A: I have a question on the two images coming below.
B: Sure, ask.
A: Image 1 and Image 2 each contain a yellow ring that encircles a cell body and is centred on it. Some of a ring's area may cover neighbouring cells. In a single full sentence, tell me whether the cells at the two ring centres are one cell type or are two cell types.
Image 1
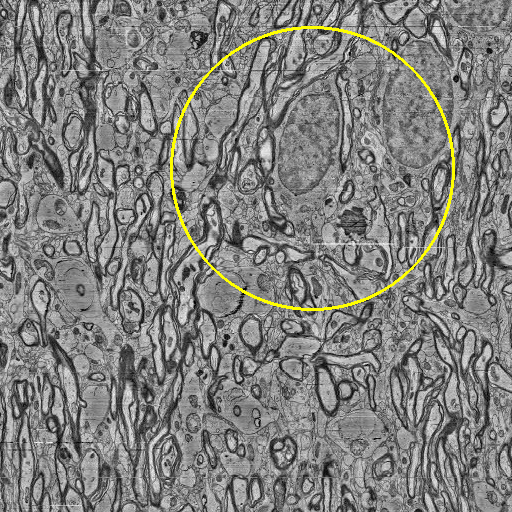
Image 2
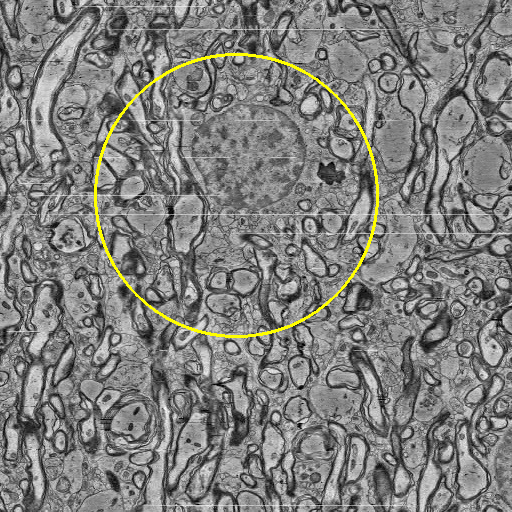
As for the ring-centre cells, the one in Image 1 and the one in Image 2 are one cell type.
